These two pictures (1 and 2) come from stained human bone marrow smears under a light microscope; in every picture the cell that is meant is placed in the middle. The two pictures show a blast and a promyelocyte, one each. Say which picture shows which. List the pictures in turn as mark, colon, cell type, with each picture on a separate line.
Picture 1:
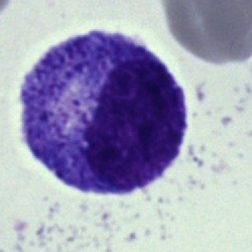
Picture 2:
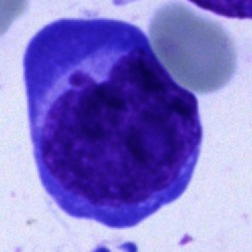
1: promyelocyte
2: blast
